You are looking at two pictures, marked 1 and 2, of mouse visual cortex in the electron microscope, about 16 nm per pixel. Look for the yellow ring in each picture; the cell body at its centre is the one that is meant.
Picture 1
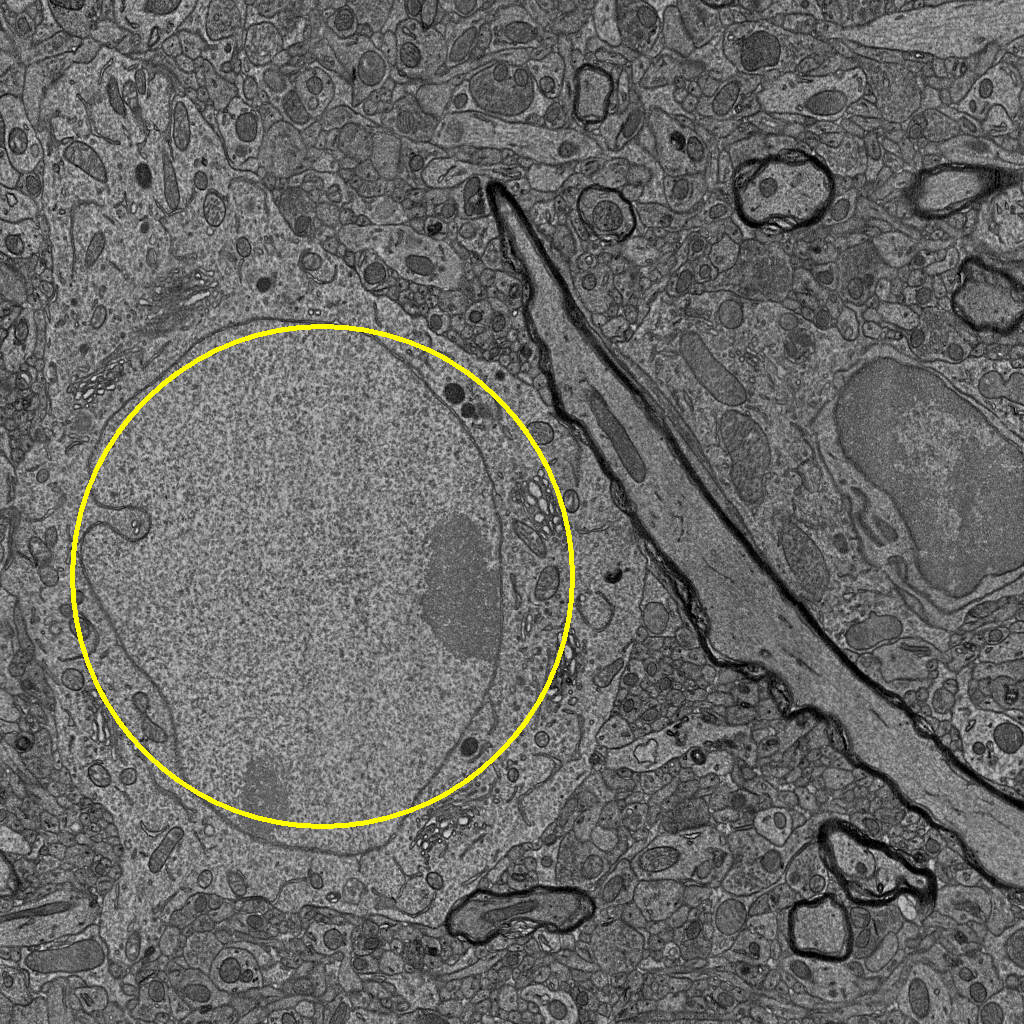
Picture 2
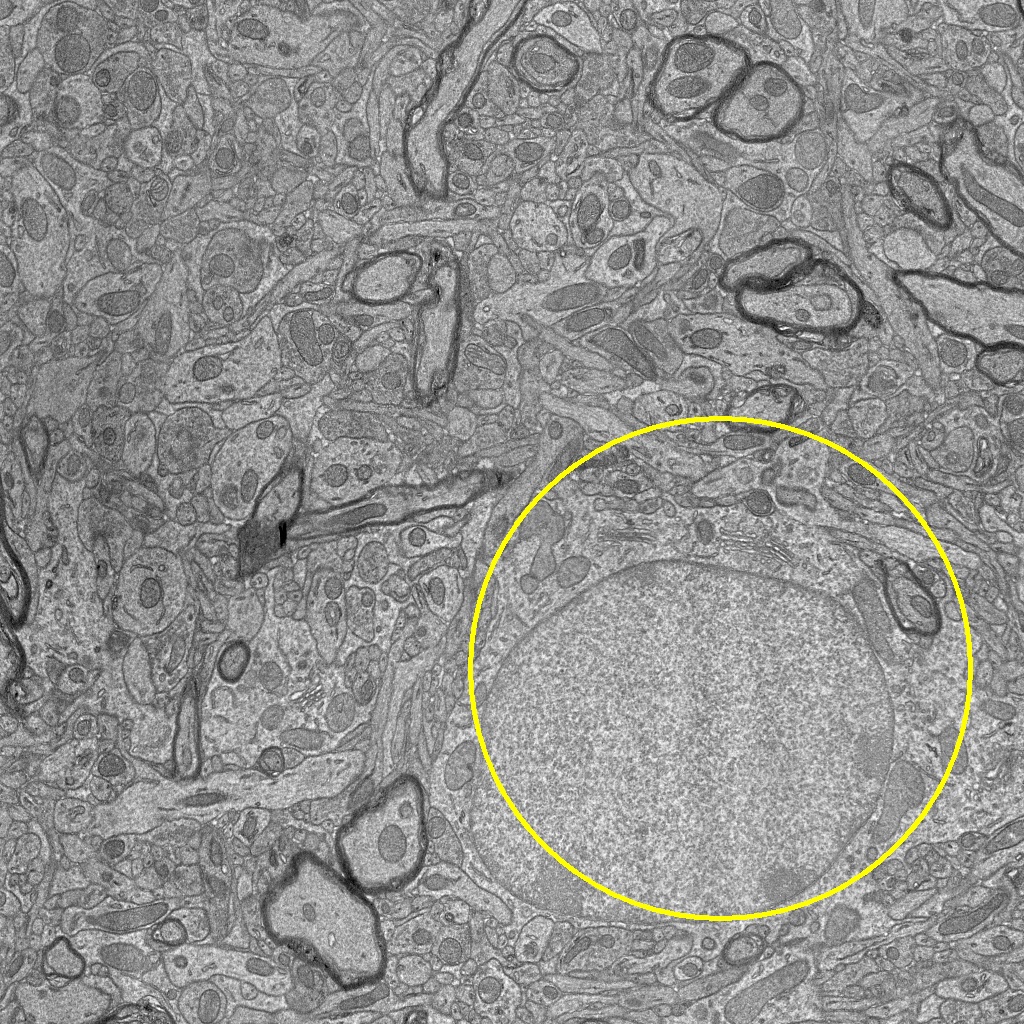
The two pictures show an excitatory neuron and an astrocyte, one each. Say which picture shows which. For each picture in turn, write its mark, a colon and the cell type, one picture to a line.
1: excitatory neuron
2: astrocyte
